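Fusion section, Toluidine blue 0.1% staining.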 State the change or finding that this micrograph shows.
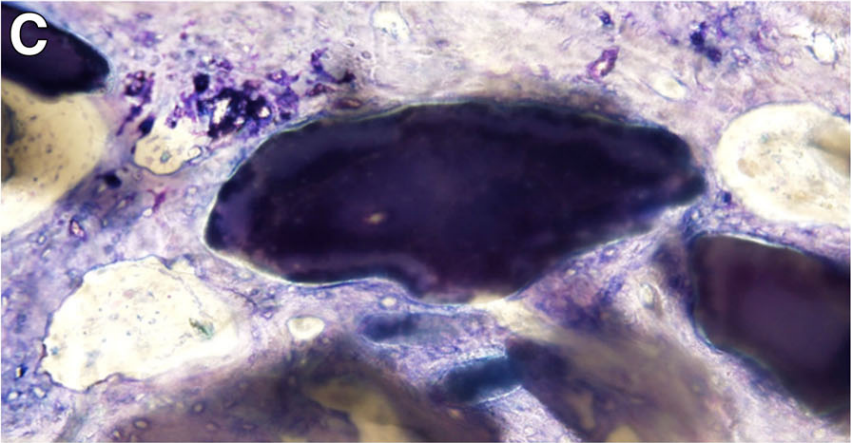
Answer: Good osteointegration.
